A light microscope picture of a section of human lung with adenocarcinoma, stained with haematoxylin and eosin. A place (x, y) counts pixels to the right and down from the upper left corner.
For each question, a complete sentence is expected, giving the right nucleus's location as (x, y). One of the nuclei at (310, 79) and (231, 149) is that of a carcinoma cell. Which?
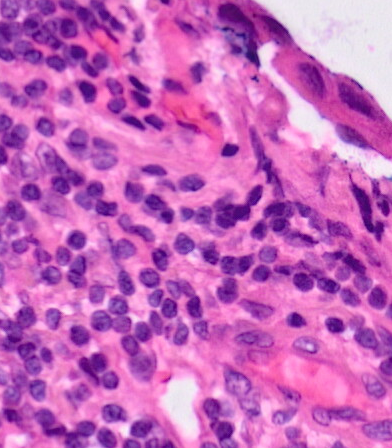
Only the nucleus at (310, 79), of the two, belongs to a carcinoma cell.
